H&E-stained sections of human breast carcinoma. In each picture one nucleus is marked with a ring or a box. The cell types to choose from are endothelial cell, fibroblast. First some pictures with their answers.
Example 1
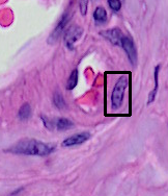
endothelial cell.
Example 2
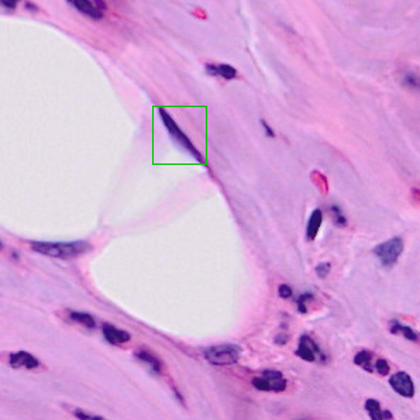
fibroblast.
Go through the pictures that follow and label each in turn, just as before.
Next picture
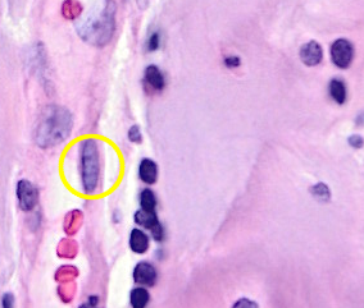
endothelial cell.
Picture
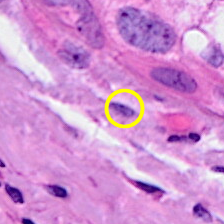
fibroblast.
